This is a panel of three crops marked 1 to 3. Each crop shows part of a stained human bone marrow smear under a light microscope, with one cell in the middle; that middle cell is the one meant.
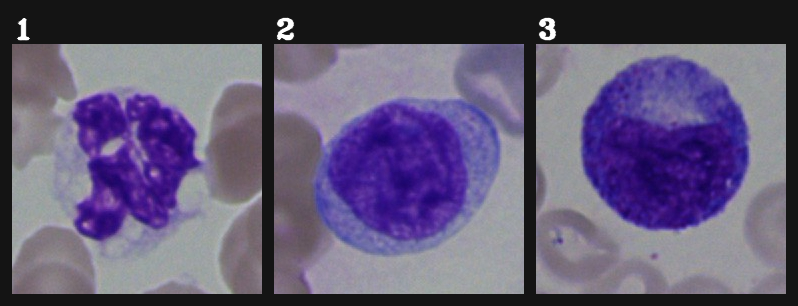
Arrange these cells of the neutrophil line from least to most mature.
3, 2, 1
